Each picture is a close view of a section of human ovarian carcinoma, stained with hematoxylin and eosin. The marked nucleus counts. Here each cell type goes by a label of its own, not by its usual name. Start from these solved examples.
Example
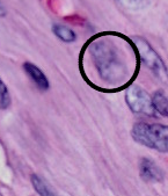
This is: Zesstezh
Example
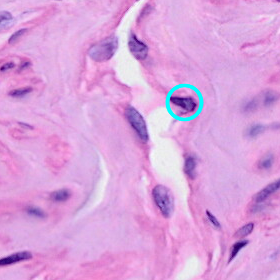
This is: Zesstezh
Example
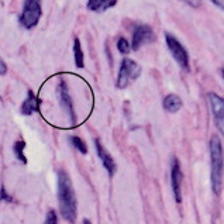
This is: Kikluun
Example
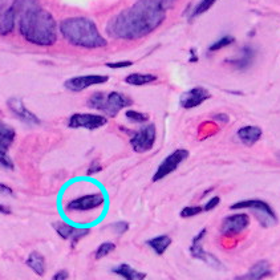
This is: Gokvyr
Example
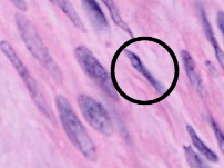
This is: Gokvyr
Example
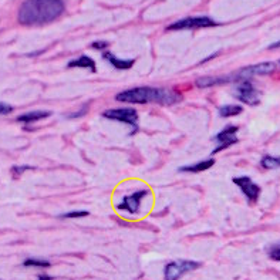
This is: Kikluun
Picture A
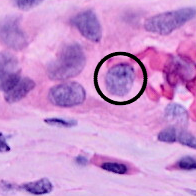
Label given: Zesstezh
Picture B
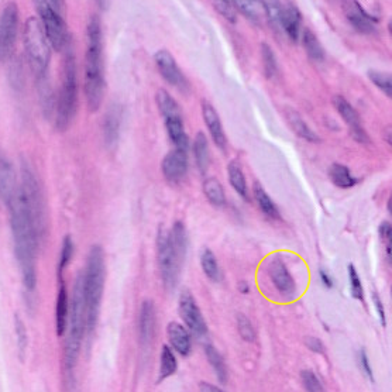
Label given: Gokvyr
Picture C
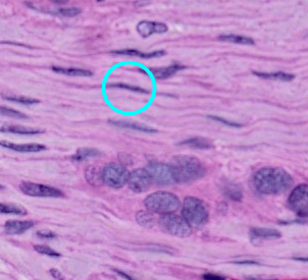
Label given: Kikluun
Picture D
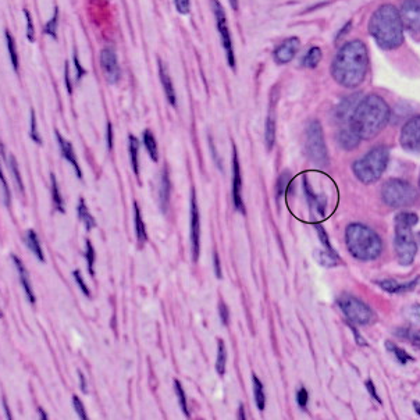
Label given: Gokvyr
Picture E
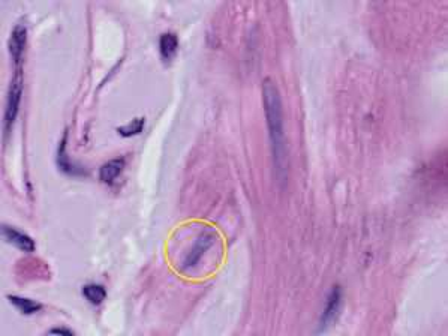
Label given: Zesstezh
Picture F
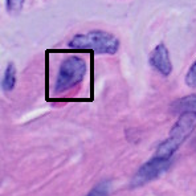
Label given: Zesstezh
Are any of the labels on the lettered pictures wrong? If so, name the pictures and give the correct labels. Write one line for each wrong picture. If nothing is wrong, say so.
D: Kikluun, not Gokvyr
E: Gokvyr, not Zesstezh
